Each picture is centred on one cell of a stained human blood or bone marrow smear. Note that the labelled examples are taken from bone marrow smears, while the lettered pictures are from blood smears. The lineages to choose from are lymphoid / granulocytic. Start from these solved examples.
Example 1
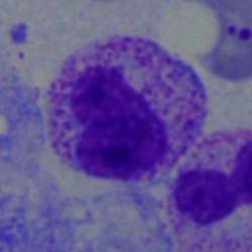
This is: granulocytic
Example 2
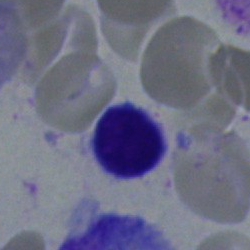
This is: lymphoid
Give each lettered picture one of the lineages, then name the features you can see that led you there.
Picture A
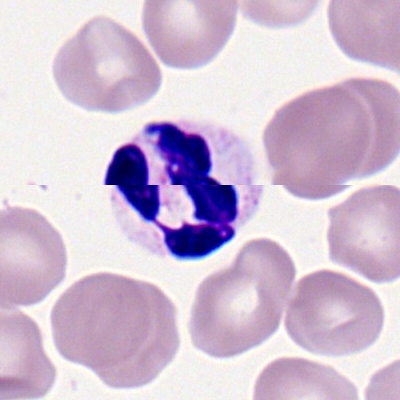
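granulocytic: The nucleus is divided into several separate lobes.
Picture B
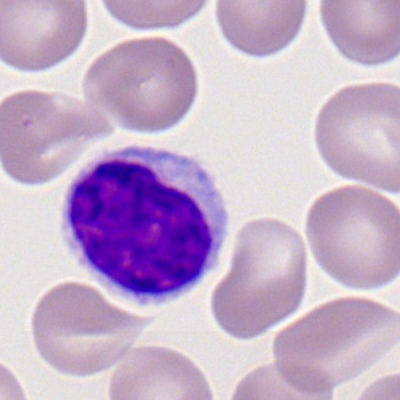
lymphoid: The nucleus fills most of the cell.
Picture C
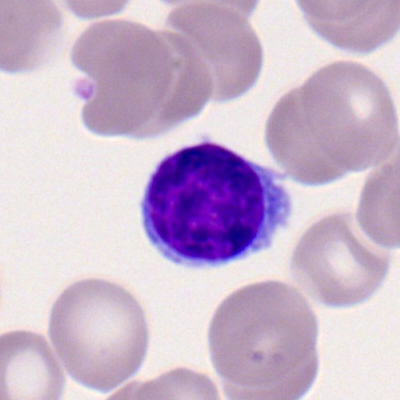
lymphoid: The nucleus fills most of the cell.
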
